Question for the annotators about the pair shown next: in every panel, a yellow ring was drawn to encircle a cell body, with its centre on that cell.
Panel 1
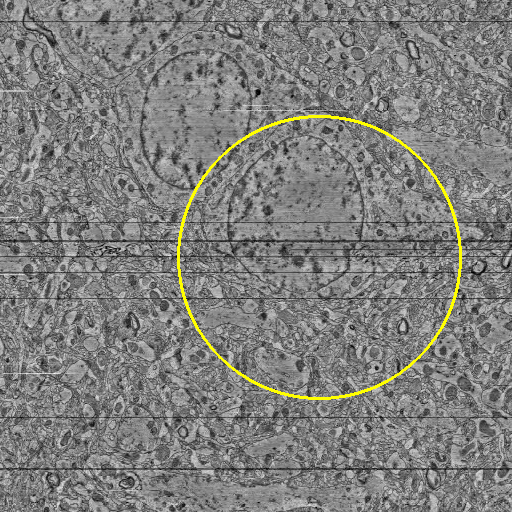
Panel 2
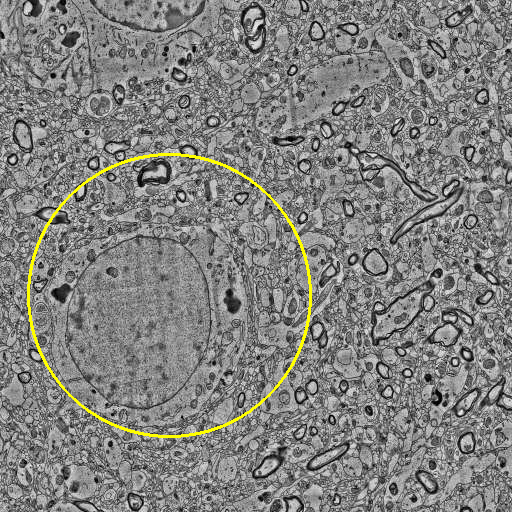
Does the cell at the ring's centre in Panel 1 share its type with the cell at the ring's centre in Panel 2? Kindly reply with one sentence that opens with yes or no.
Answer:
Yes, in Panels 1 and 2 the cells at the ring centres belong to a single type.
